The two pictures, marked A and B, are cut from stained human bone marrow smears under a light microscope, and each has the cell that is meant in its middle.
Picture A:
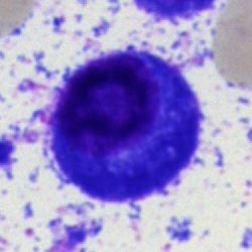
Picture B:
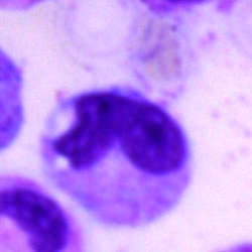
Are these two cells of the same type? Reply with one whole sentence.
No, they differ: the cell is a plasma cell in picture A and a metamyelocyte in picture B.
